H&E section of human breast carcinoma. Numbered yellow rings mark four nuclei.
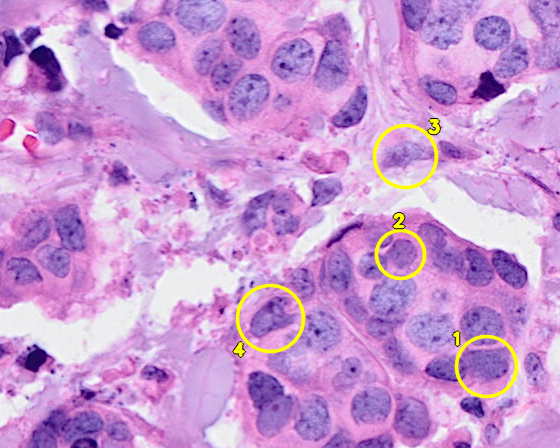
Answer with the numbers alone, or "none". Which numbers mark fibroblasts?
3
